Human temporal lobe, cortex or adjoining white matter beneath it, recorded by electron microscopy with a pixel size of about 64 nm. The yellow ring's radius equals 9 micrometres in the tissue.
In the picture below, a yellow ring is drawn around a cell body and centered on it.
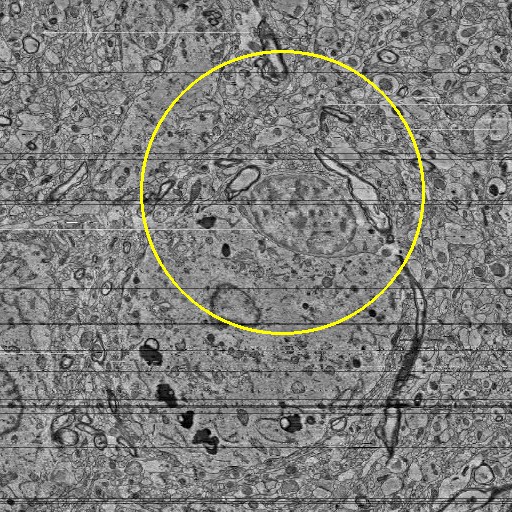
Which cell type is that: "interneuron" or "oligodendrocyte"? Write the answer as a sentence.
The cell centered in the ring is an oligodendrocyte.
